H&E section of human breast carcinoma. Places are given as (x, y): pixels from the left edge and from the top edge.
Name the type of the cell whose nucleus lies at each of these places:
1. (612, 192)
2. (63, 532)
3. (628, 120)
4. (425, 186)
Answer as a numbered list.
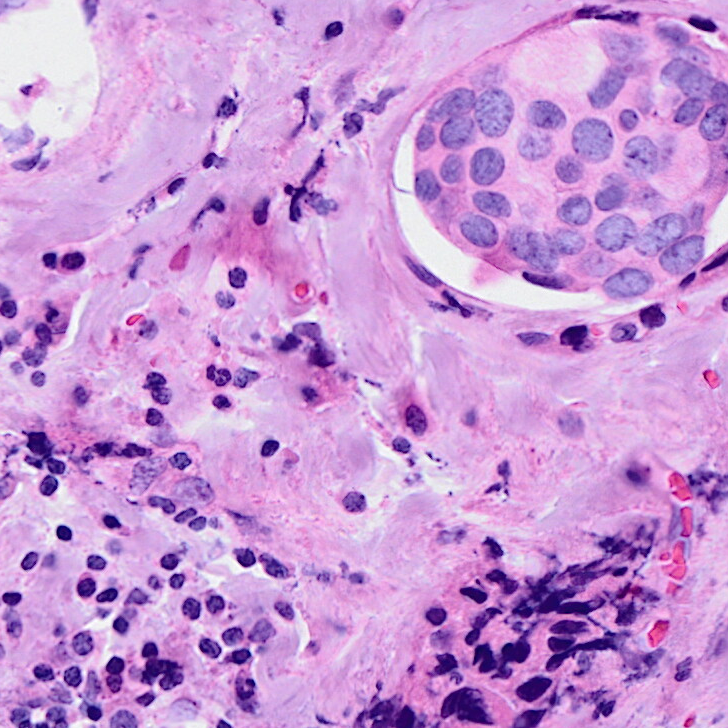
1. carcinoma cell
2. lymphocyte
3. carcinoma cell
4. carcinoma cell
